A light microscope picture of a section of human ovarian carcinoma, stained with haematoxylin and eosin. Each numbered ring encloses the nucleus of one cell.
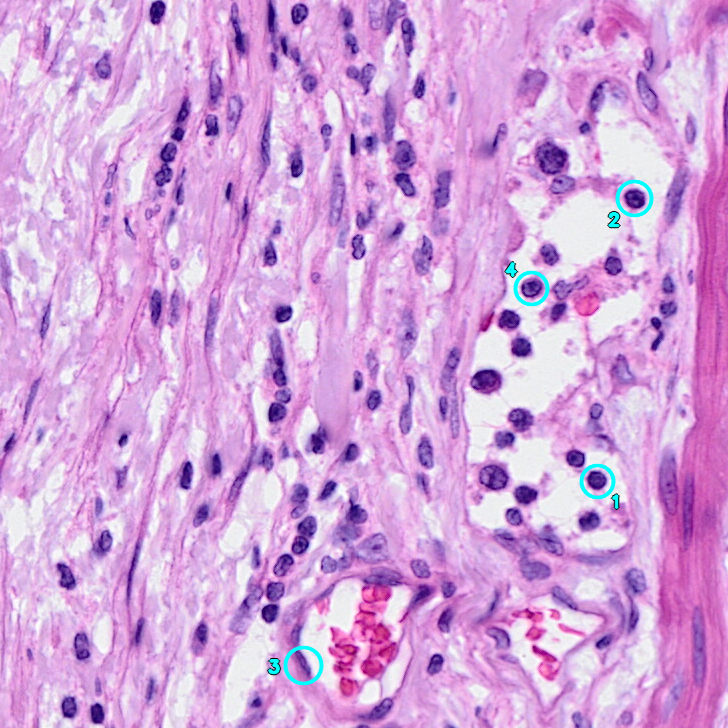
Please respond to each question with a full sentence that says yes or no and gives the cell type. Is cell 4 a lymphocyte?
Yes, the cell shown as number 4 is a lymphocyte.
